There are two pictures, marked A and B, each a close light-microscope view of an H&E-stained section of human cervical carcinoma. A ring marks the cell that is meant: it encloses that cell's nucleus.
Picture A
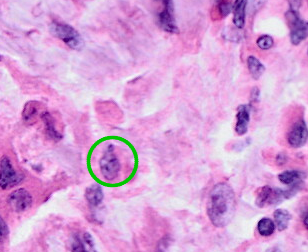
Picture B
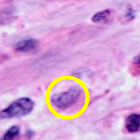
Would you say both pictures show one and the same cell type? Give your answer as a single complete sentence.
Yes, they are the same type: both are “macrophages or monocytes”.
